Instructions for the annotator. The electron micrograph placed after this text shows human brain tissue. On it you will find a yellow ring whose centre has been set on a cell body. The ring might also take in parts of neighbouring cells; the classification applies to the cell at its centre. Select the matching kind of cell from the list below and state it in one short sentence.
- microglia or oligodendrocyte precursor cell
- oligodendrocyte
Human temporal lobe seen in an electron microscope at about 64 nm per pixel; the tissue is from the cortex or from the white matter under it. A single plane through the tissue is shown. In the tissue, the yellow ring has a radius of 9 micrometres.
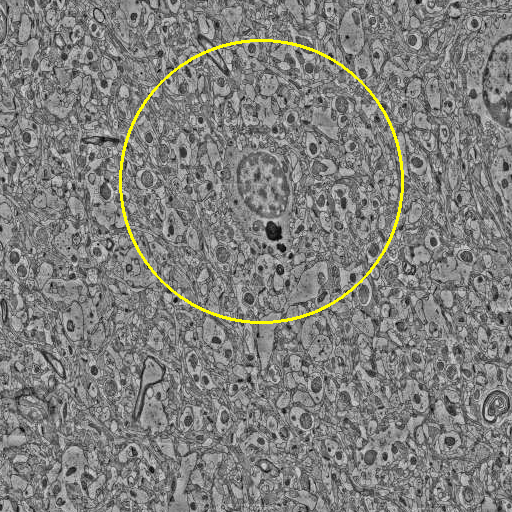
The ring is drawn on the cell body of an oligodendrocyte.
